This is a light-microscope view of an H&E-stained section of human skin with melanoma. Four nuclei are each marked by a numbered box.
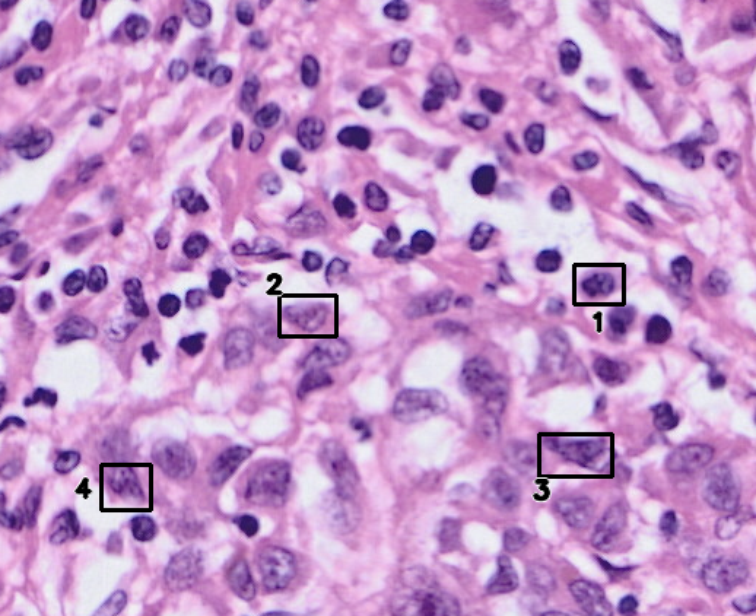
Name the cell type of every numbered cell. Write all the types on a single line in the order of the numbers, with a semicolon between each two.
plasma cell; melanoma cell; melanoma cell; melanoma cell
